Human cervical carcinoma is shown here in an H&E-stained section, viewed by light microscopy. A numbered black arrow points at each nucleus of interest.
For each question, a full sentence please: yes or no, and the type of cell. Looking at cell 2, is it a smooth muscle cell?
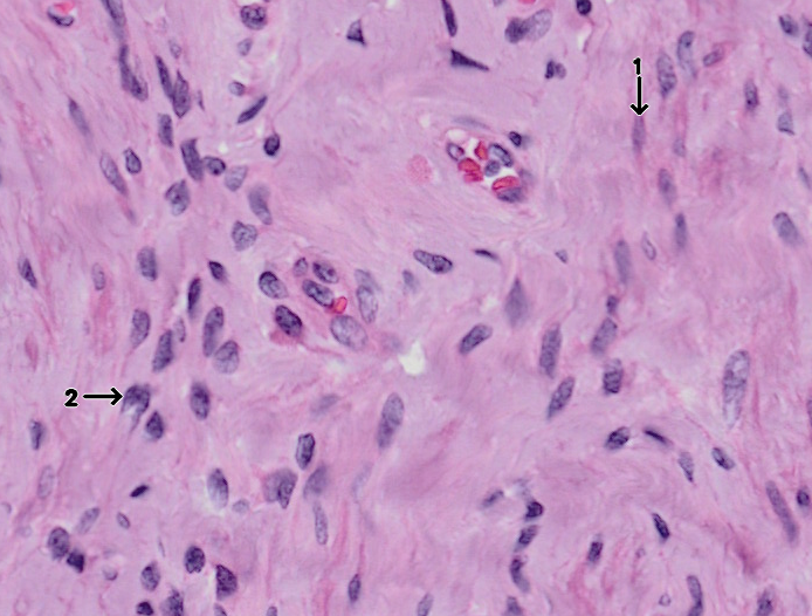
No, cell 2 is not a smooth muscle cell at all but a fibroblast.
